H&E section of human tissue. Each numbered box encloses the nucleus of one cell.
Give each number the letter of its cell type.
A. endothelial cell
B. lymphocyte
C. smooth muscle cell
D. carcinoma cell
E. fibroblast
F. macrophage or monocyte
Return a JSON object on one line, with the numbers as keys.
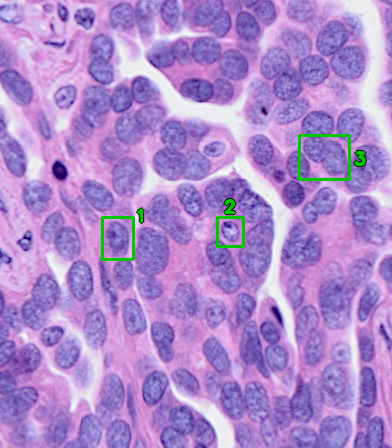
{"1": "D", "2": "F", "3": "D"}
